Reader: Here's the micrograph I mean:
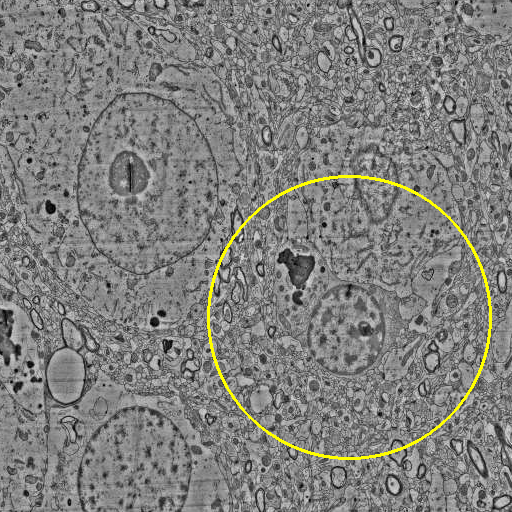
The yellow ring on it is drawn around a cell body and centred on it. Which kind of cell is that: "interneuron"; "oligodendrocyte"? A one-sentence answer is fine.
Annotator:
The ring is centred on an oligodendrocyte.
